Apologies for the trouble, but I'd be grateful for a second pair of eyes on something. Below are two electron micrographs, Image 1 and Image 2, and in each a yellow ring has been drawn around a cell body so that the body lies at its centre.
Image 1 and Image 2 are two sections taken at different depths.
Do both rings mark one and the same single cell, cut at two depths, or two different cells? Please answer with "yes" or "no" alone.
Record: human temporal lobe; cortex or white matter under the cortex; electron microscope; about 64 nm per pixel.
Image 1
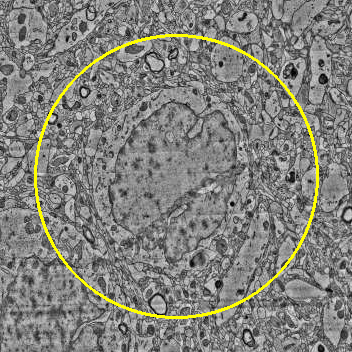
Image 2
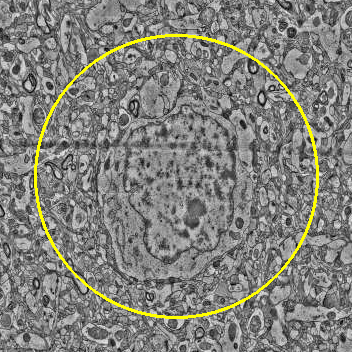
no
